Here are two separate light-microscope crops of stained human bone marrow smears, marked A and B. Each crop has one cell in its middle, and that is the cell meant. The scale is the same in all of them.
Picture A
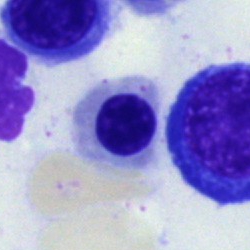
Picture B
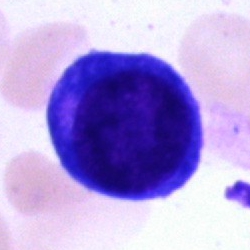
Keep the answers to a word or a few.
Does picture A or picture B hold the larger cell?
B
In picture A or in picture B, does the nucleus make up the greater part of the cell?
B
